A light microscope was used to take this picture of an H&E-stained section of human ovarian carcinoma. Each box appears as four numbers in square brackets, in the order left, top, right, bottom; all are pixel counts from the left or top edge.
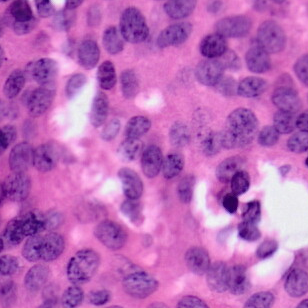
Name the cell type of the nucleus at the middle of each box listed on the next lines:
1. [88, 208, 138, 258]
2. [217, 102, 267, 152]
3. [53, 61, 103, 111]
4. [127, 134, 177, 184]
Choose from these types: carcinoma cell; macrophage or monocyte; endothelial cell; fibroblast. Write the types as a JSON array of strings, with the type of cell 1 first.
["endothelial cell", "carcinoma cell", "carcinoma cell", "carcinoma cell"]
